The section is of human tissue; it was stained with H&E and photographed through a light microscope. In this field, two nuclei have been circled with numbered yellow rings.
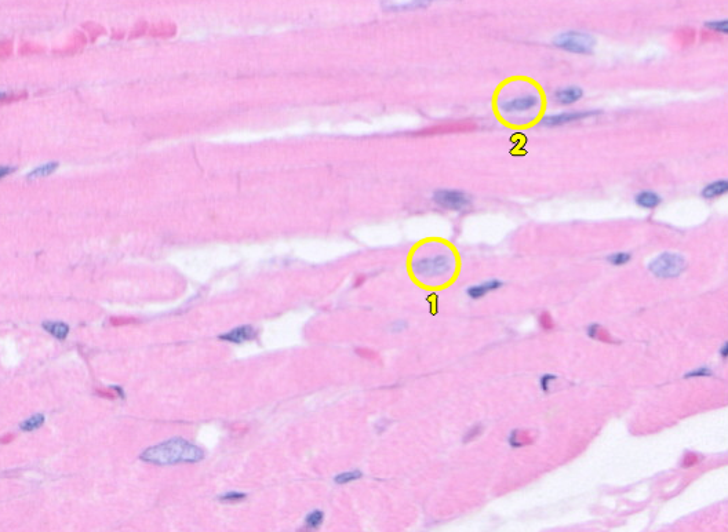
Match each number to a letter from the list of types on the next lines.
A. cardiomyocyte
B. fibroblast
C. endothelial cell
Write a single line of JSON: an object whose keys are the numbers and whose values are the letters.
{"1": "A", "2": "B"}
